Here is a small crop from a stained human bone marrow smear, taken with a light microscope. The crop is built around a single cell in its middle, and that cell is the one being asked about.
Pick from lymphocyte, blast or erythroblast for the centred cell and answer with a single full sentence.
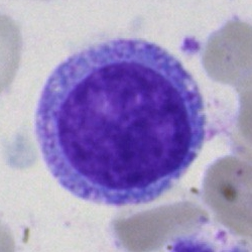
In the middle of this smear crop is a blast.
